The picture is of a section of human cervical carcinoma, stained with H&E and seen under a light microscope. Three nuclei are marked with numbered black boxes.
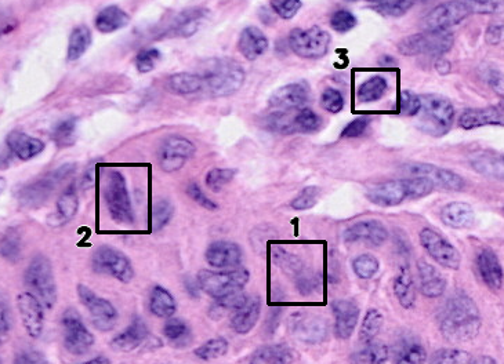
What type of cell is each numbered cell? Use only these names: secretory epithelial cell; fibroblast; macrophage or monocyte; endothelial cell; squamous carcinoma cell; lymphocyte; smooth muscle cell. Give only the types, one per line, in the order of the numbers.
squamous carcinoma cell
squamous carcinoma cell
lymphocyte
